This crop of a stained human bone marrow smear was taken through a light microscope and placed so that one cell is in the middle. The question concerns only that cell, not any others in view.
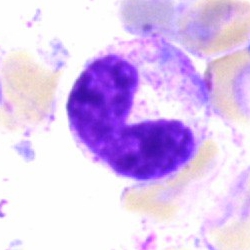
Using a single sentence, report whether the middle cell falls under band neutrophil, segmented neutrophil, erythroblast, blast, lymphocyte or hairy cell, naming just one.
The cell at the centre of the field is a band neutrophil.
